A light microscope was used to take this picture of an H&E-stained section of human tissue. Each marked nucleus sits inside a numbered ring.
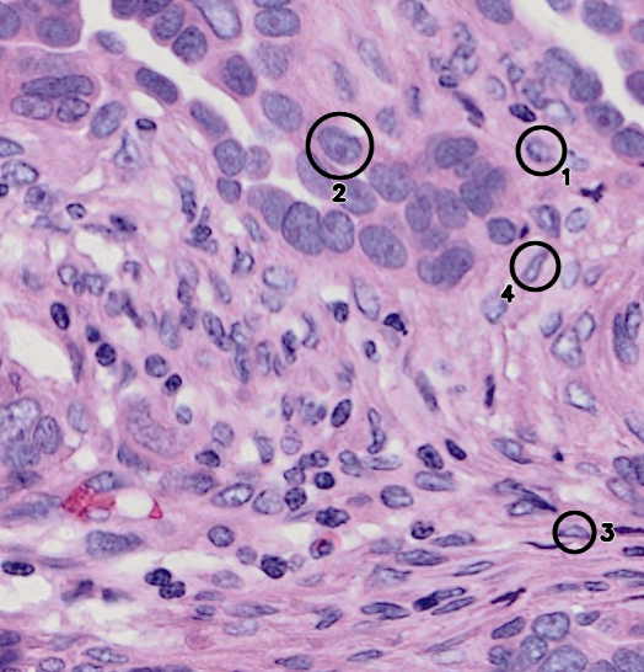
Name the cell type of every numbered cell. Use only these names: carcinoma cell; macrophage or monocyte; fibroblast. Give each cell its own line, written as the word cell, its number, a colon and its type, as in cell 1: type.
cell 1: fibroblast
cell 2: carcinoma cell
cell 3: fibroblast
cell 4: fibroblast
